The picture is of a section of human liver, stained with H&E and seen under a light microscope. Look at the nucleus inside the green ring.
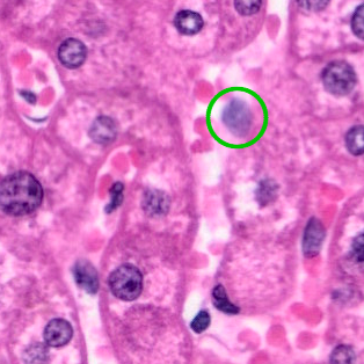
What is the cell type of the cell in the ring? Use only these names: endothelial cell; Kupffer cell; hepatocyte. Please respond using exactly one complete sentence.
To be brief about it, the cell in the ring is an endothelial cell.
